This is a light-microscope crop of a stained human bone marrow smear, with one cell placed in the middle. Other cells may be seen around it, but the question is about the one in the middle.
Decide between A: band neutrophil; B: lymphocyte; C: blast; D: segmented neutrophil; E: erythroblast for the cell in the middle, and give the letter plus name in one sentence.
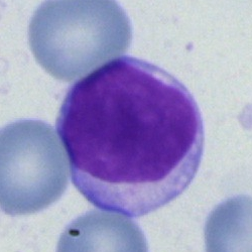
Correctly, option B names the cell in the middle a lymphocyte.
